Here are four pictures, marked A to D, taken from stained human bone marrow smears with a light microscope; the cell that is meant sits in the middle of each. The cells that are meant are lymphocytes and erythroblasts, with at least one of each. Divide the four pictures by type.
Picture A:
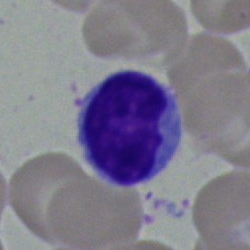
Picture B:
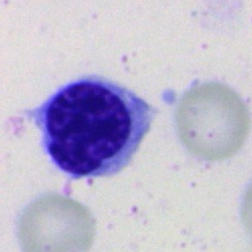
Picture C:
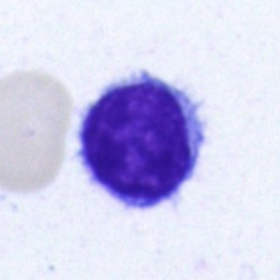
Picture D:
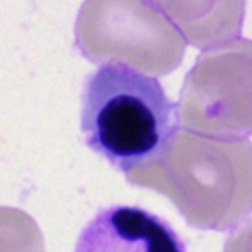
A: lymphocyte
B: erythroblast
C: lymphocyte
D: erythroblast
